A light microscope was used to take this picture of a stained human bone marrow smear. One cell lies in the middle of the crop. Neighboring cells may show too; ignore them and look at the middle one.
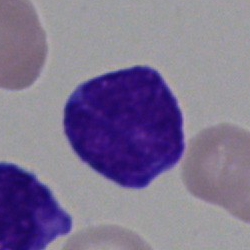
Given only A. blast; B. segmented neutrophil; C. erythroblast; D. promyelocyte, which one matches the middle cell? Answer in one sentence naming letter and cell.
Option A is the correct selection, for the cell at the centre is a blast.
